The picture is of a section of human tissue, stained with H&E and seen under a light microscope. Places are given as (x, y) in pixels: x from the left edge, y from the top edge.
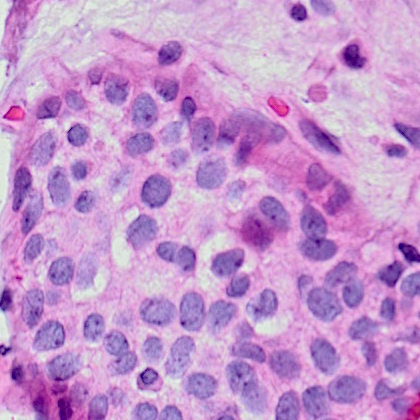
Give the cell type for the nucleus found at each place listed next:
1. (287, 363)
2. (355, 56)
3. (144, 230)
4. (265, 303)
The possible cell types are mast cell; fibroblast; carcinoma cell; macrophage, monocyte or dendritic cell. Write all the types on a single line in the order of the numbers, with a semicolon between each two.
carcinoma cell; macrophage, monocyte or dendritic cell; carcinoma cell; carcinoma cell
